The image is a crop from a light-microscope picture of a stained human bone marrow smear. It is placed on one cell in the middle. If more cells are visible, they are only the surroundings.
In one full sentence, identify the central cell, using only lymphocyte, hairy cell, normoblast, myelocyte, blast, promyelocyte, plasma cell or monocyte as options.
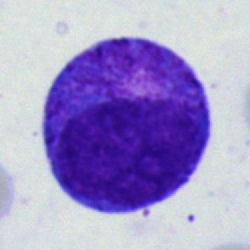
The middle of this crop holds a promyelocyte.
